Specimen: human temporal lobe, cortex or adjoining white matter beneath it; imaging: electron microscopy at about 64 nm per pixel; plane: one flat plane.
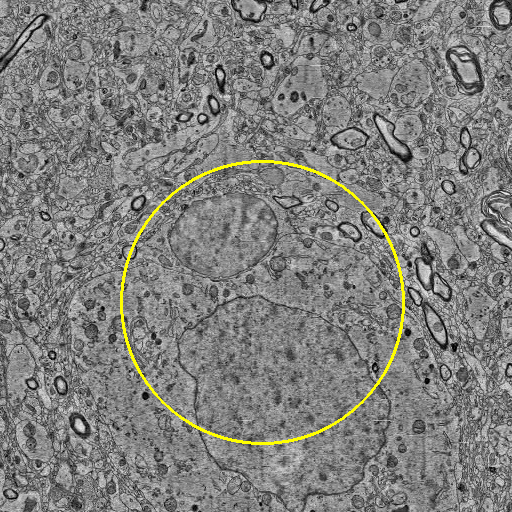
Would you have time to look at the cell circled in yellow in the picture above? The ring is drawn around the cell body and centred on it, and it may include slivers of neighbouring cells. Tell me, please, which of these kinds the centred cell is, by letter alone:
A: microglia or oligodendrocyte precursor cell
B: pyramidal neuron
B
